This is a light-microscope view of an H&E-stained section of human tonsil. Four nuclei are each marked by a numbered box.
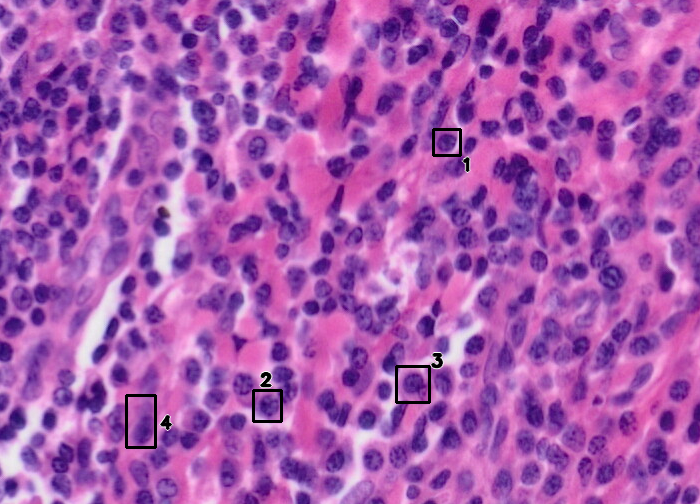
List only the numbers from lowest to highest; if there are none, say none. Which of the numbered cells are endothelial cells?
4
